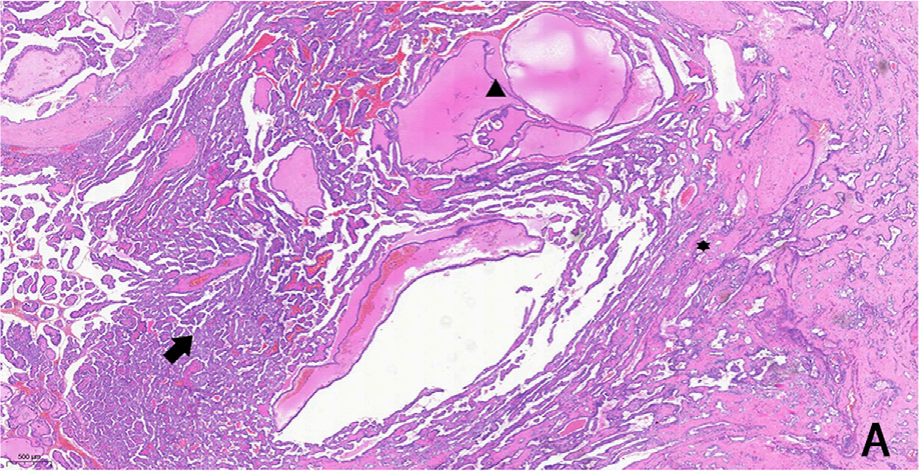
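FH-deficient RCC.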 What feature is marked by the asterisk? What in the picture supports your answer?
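To the right of the asterisk, small rounded and elongated lumens are scattered in pink stroma. The answer: tubular formations.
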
